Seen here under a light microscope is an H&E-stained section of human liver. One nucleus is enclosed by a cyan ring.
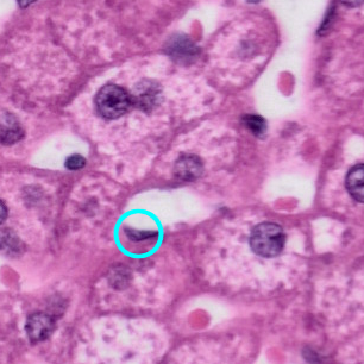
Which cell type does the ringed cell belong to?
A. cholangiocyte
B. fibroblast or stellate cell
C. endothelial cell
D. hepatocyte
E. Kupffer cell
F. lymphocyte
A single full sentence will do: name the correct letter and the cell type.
Option C is correct; the ringed cell is an endothelial cell.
